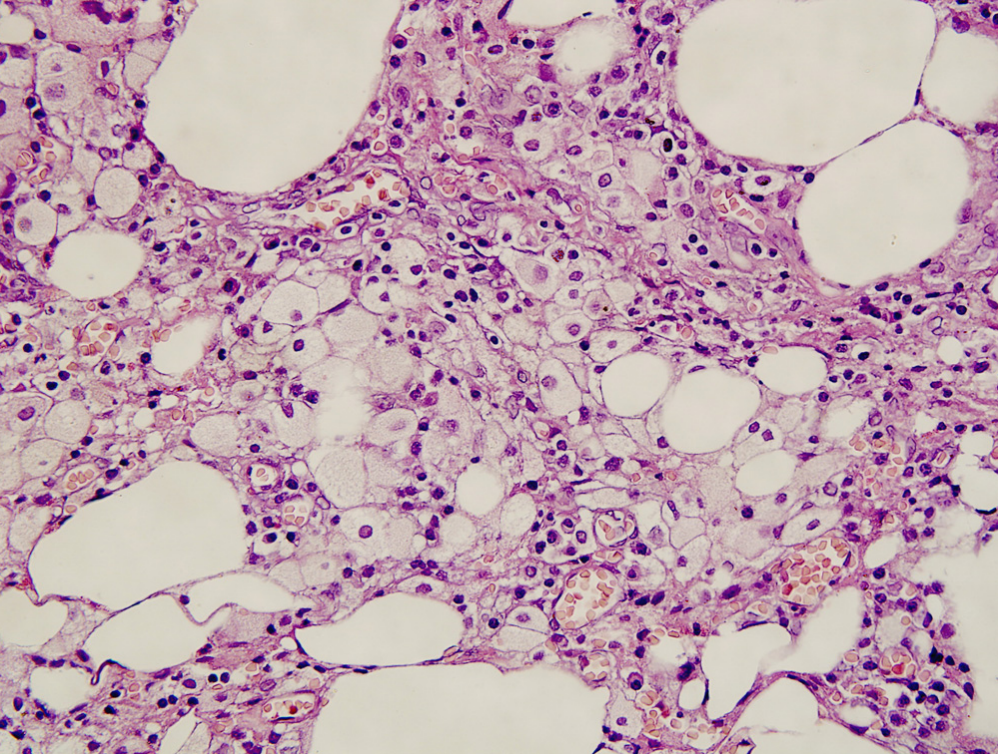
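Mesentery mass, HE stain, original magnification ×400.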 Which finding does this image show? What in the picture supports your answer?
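Large, empty, rounded fat spaces vary widely in size. Foamy cells and small dark inflammatory cells fill the tissue between the fat spaces.
Conclusion: fat necrosis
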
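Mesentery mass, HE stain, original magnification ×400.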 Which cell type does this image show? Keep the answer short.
Lipid-laden macrophages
